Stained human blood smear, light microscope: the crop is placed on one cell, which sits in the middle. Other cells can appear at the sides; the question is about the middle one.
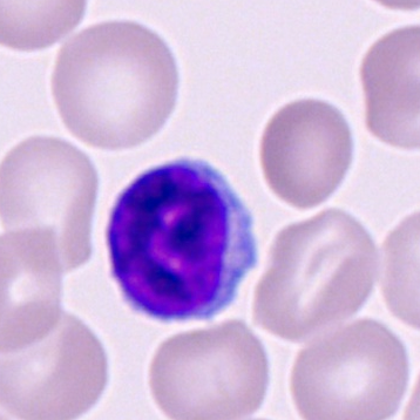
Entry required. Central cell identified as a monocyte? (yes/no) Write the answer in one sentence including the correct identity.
No, it is not a monocyte that lies in the middle but a lymphocyte.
